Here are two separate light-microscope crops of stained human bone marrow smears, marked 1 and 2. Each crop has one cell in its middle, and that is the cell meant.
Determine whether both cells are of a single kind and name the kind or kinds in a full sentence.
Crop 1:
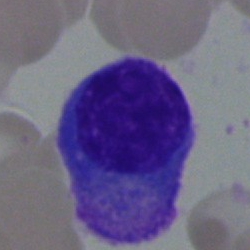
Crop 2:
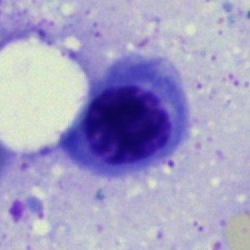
No, crop 1 is home to a plasma cell, and crop 2 to a normoblast.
